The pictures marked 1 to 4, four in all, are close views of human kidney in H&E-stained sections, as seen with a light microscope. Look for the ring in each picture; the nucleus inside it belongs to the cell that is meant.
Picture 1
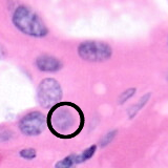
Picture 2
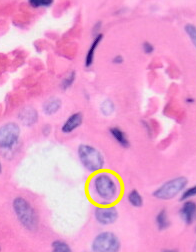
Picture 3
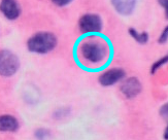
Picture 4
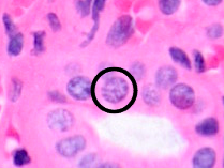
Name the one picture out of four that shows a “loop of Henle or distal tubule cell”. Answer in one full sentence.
The cell in picture 3 is the “loop of Henle or distal tubule cell”.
